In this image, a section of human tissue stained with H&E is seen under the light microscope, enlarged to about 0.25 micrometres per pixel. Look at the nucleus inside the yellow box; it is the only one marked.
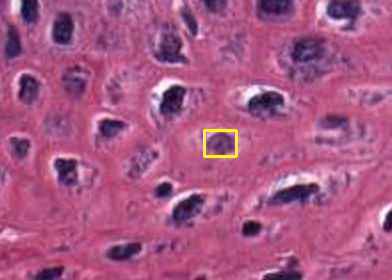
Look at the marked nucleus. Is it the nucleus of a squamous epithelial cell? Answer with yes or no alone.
yes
